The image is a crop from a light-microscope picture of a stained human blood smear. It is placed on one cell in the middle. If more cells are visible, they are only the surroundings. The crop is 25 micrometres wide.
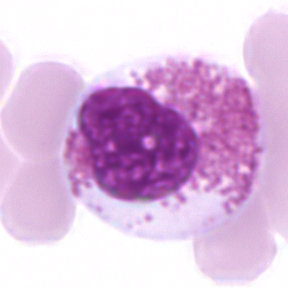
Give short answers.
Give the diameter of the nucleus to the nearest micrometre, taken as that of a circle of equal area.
10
